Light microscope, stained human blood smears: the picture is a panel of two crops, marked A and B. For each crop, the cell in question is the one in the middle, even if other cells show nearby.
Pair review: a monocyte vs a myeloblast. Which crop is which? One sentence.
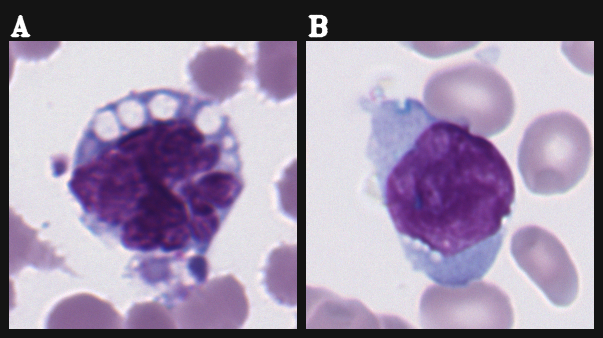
Displayed in crop A is a monocyte, while crop B displays a myeloblast.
